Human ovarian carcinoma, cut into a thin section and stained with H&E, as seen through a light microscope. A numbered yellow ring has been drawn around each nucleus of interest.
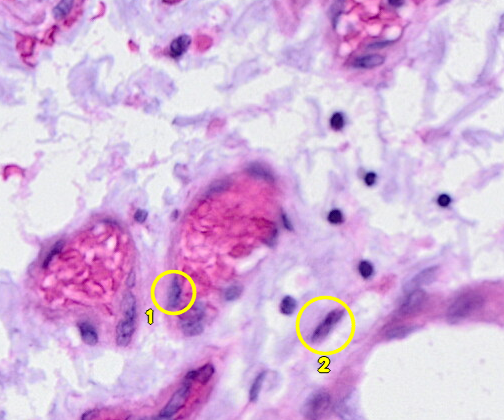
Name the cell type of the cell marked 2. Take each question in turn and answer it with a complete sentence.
Regarding cell 2, this one is a fibroblast.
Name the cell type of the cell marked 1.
In the marked set, the cell given number 1 is an endothelial cell.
